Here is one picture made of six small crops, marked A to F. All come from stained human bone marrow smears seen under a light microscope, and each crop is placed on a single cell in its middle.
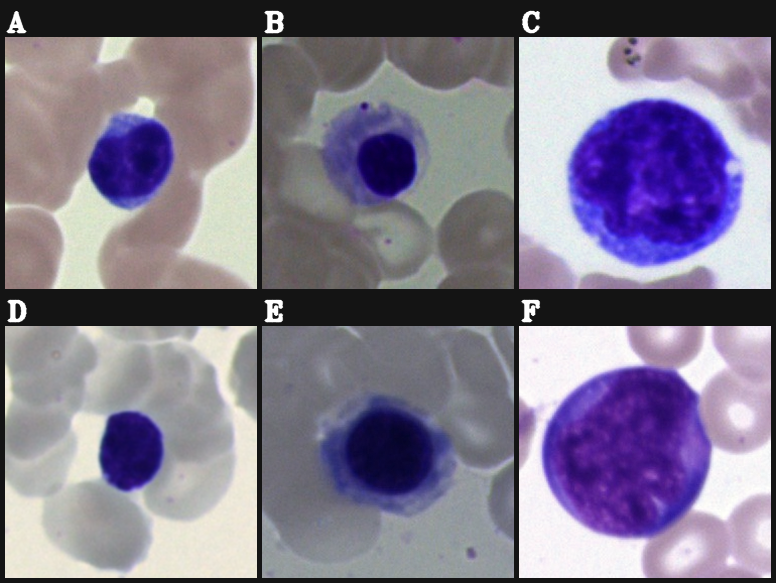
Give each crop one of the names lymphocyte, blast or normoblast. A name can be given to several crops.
A: lymphocyte
B: normoblast
C: blast
D: lymphocyte
E: normoblast
F: blast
